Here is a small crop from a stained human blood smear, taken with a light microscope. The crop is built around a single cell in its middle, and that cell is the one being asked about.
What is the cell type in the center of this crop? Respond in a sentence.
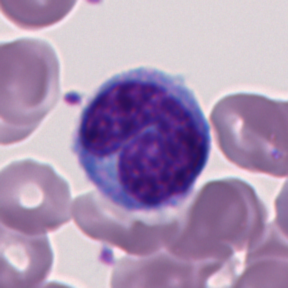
The center cell of this crop is a monocyte.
